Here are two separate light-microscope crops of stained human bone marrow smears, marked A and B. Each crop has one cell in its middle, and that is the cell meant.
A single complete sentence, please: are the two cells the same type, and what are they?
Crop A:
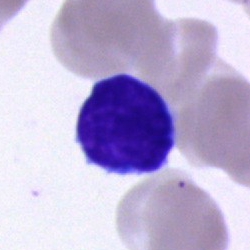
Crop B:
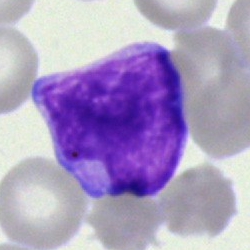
No, mark crop A as a lymphocyte and crop B as a blast.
